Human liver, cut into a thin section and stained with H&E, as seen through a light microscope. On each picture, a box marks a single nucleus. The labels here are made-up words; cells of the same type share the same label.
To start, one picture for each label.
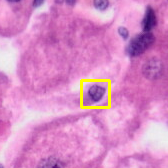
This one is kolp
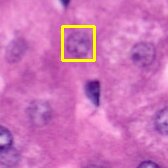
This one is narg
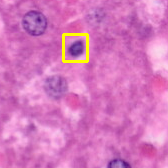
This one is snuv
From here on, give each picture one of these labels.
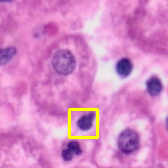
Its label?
snuv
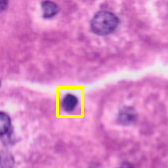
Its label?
snuv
